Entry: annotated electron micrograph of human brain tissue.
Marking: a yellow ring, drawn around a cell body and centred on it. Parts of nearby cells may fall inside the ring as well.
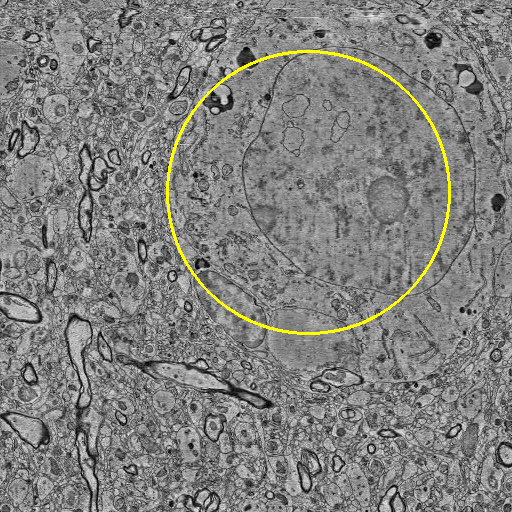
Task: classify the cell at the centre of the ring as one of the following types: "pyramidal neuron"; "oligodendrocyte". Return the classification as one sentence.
The marked cell is classified as a pyramidal neuron.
